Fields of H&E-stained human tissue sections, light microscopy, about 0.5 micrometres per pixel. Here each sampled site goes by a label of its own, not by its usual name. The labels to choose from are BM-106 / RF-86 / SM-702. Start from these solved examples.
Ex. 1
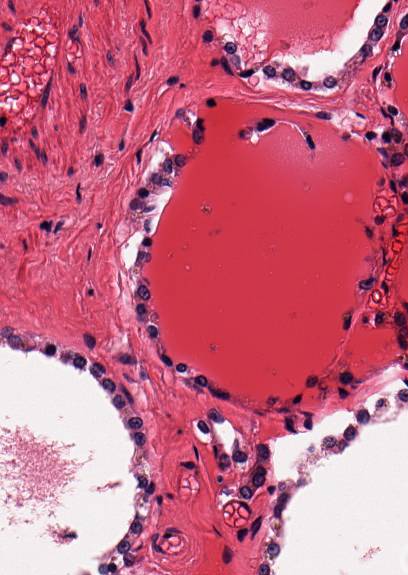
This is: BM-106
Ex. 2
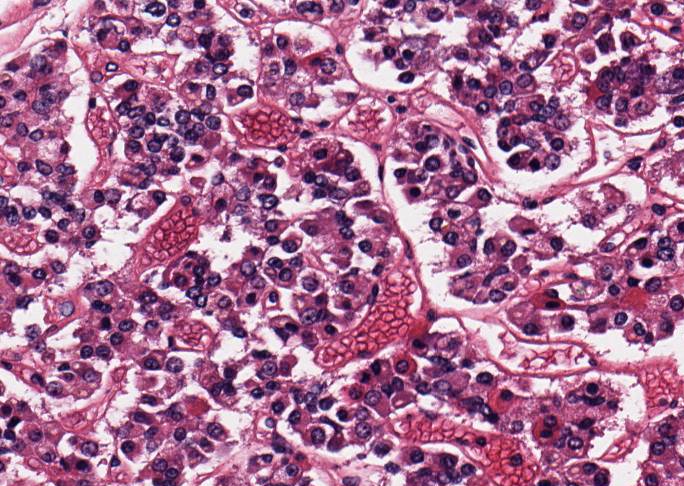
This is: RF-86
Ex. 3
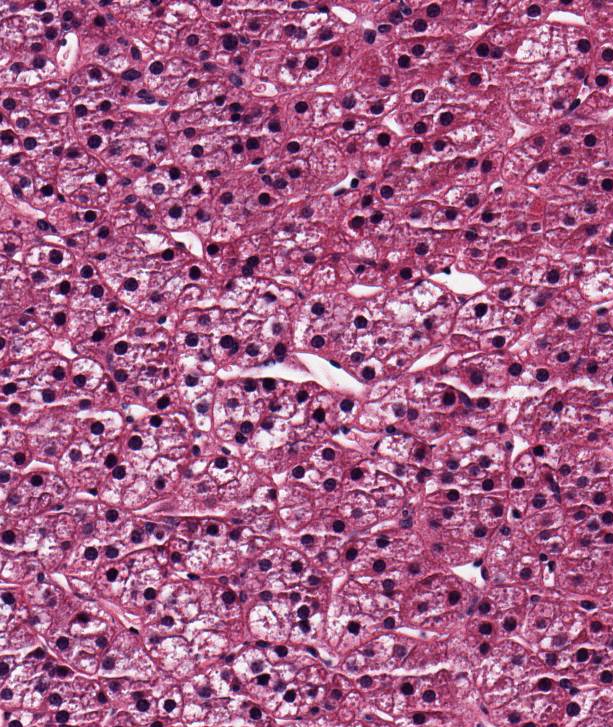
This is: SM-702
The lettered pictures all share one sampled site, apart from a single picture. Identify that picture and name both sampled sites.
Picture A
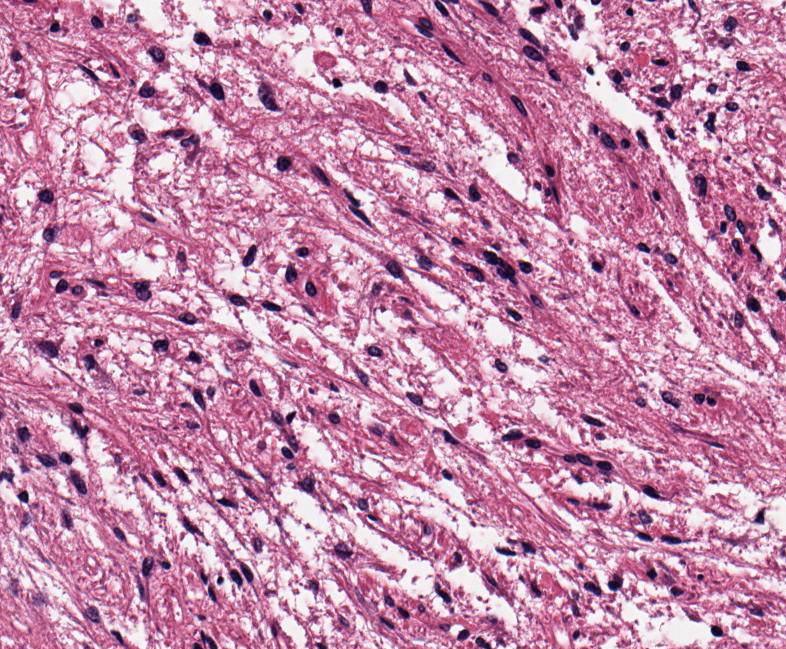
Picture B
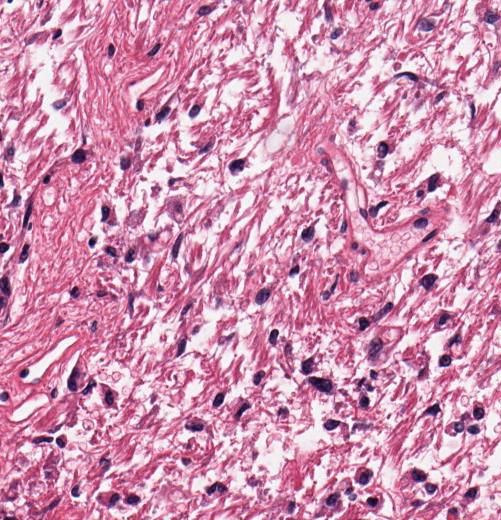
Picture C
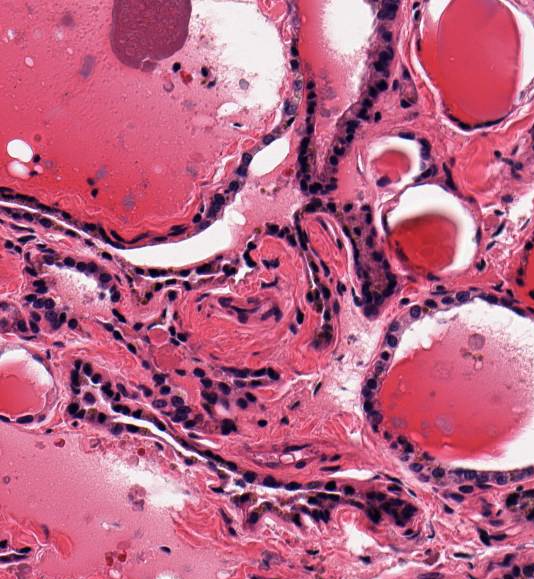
C: BM-106; all the others: RF-86.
